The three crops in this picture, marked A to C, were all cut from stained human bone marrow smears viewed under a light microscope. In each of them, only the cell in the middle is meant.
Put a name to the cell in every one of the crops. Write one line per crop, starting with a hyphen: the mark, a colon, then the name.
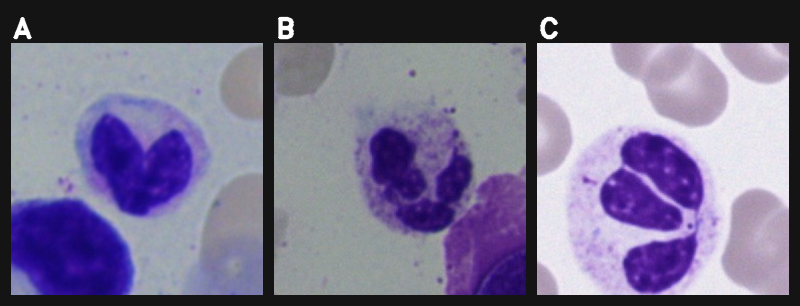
- A: band neutrophil
- B: segmented neutrophil
- C: segmented neutrophil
